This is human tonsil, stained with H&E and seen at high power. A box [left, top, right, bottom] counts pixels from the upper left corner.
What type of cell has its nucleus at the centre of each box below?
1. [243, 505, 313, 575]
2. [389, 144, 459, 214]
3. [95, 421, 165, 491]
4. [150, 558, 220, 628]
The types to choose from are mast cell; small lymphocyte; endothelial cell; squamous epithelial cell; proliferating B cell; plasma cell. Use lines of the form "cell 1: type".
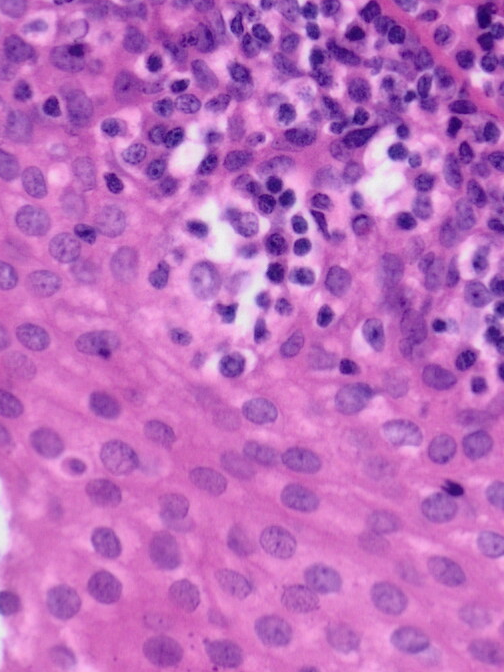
cell 1: squamous epithelial cell
cell 2: plasma cell
cell 3: squamous epithelial cell
cell 4: squamous epithelial cell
